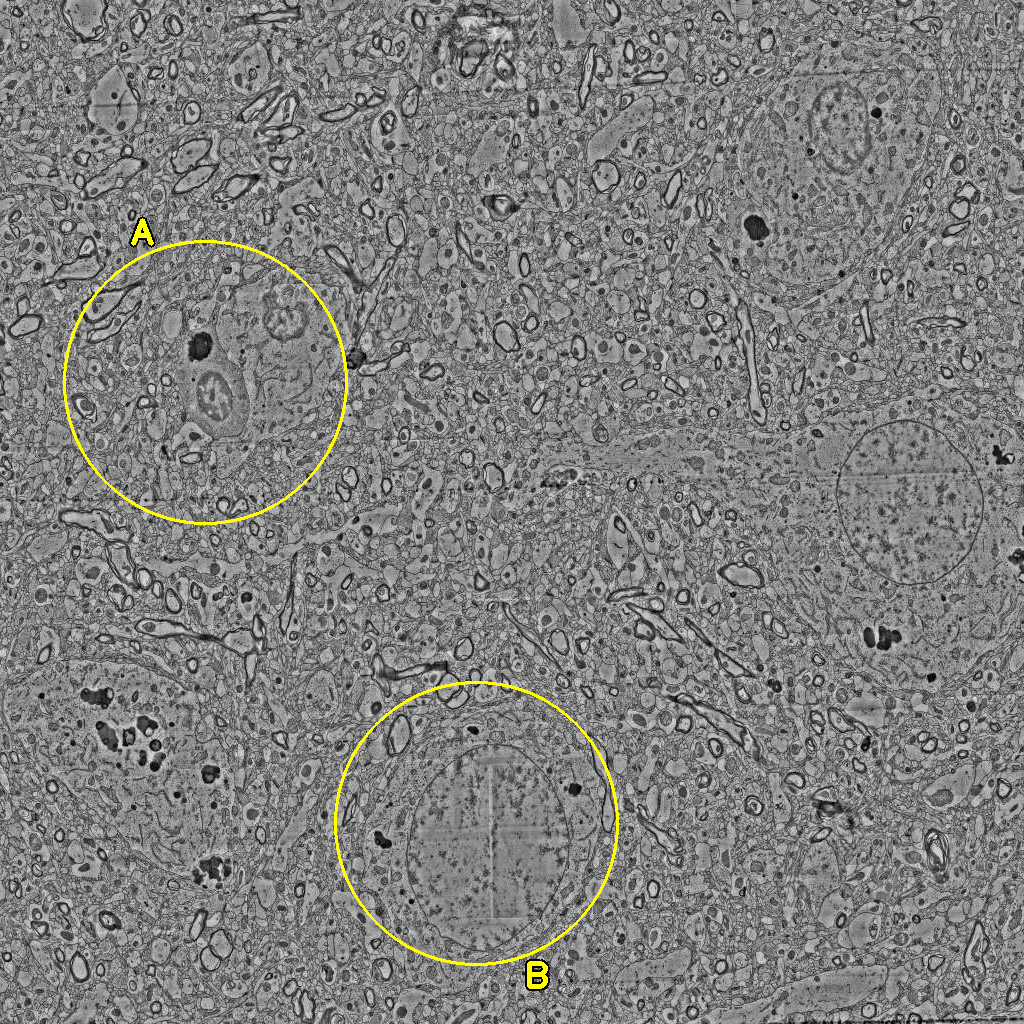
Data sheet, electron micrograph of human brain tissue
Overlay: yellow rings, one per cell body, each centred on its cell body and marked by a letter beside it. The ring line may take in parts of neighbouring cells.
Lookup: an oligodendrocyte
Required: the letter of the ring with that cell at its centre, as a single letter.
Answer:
A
